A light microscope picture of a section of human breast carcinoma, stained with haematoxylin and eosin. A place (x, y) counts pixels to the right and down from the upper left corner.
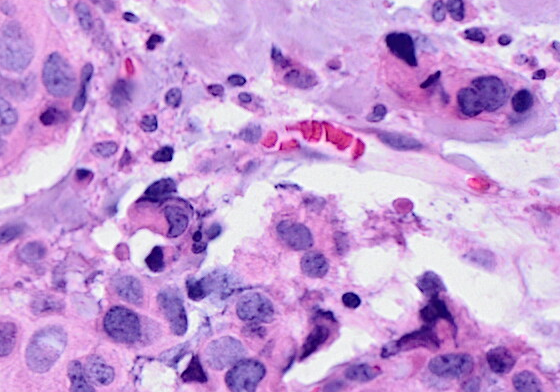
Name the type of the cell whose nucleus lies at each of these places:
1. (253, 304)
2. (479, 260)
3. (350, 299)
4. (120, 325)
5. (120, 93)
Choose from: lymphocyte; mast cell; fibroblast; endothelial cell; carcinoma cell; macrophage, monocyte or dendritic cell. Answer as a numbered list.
1. carcinoma cell
2. fibroblast
3. lymphocyte
4. carcinoma cell
5. endothelial cell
